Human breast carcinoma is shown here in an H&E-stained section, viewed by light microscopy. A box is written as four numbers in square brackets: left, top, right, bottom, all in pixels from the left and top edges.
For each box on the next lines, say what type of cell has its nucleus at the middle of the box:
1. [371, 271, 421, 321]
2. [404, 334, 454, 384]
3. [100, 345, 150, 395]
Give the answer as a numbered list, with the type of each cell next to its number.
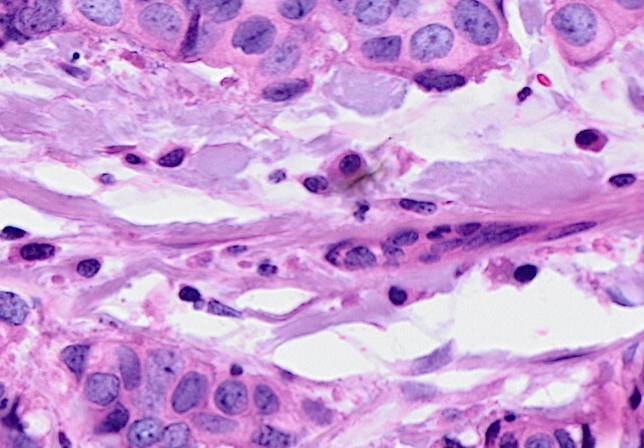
1. mast cell
2. fibroblast
3. carcinoma cell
